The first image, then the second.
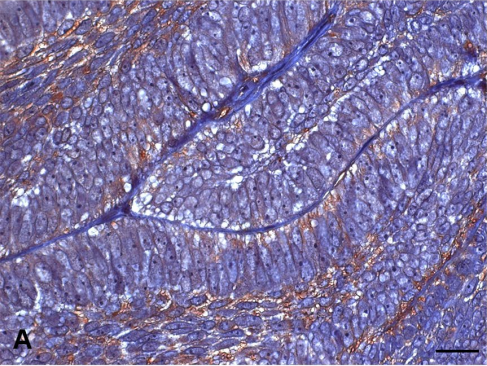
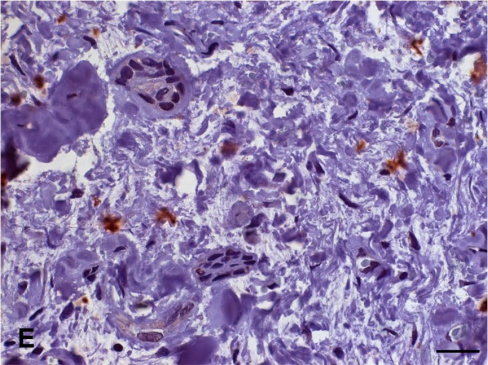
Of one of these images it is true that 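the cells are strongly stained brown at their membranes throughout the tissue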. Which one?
the first image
